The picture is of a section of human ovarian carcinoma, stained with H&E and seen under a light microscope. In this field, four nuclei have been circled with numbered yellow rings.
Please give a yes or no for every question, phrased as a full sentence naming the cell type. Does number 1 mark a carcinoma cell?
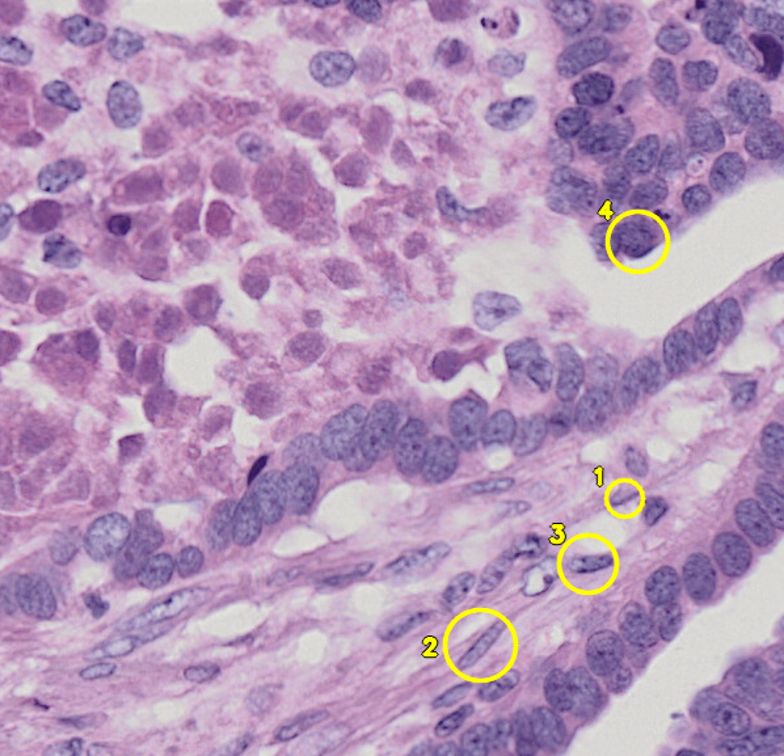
No, number 1 marks a fibroblast rather than a carcinoma cell.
